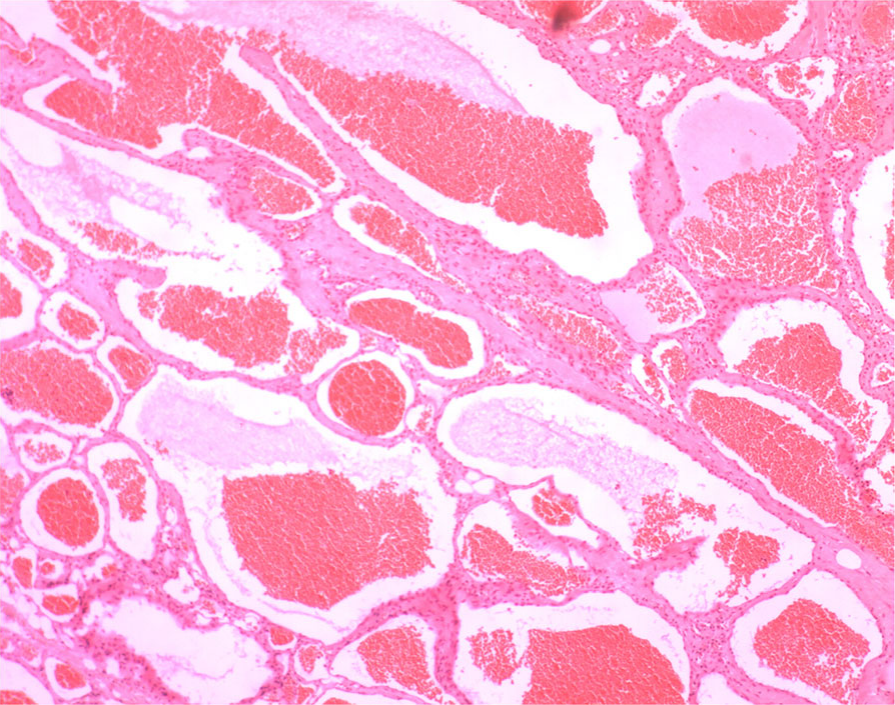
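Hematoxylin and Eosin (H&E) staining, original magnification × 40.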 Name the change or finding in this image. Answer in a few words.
cavernous hemangioma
